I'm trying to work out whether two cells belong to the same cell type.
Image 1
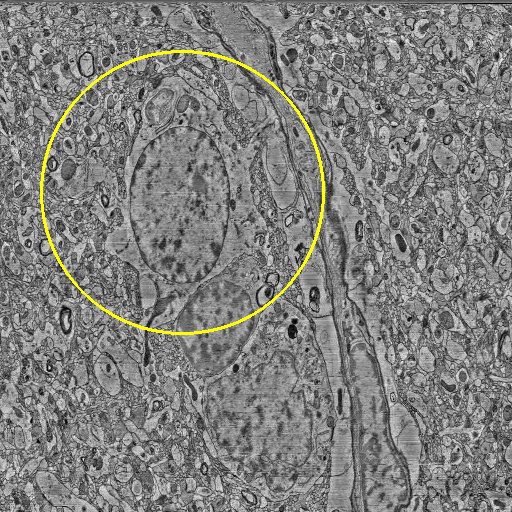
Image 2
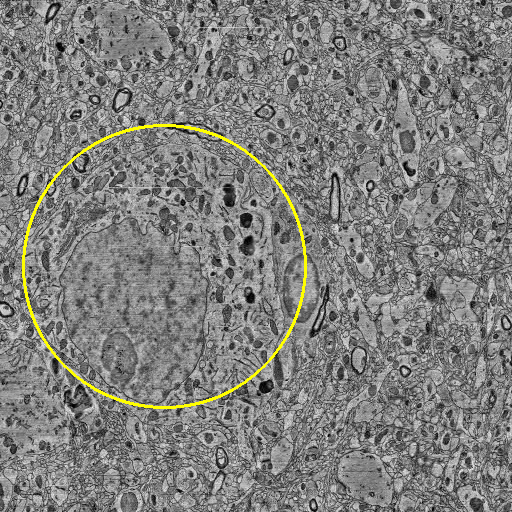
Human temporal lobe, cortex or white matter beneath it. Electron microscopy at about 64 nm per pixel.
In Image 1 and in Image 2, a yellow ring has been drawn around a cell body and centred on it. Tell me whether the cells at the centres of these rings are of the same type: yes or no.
no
